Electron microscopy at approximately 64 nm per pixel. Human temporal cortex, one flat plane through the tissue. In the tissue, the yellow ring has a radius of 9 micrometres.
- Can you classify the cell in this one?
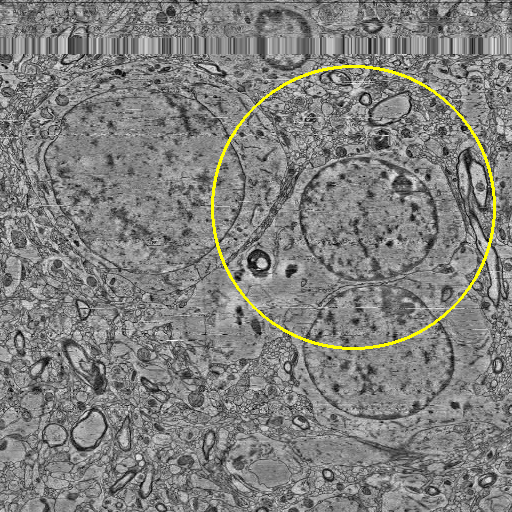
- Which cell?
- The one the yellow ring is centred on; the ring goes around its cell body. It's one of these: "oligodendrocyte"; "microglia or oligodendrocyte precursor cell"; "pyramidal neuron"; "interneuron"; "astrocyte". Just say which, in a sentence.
The cell body in the ring belongs to an astrocyte.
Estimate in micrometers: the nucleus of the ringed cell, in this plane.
The nucleus of the ringed cell is approximately 9 micrometres across in this plane.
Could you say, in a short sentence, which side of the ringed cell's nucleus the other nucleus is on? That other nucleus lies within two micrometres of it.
The second nucleus sits below it.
